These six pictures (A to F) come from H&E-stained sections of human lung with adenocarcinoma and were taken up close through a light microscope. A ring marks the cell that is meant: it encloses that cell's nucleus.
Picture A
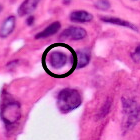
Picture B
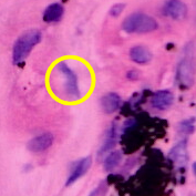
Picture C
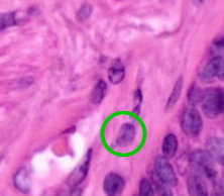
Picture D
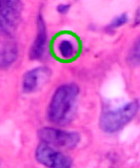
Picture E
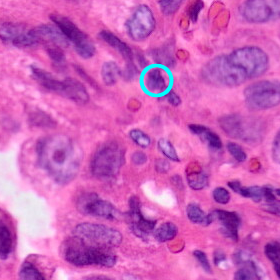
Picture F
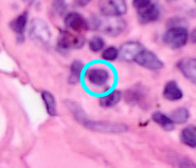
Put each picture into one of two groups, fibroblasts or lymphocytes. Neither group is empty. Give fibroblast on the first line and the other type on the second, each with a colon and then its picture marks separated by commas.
fibroblast: B, C
lymphocyte: A, D, E, F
